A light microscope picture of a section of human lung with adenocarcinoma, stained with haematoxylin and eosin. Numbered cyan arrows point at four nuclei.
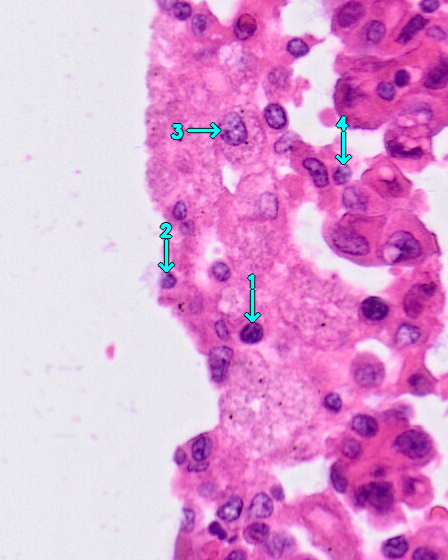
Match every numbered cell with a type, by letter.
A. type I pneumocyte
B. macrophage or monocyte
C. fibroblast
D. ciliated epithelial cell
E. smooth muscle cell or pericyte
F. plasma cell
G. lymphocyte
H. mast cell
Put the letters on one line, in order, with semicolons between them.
F; G; B; G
